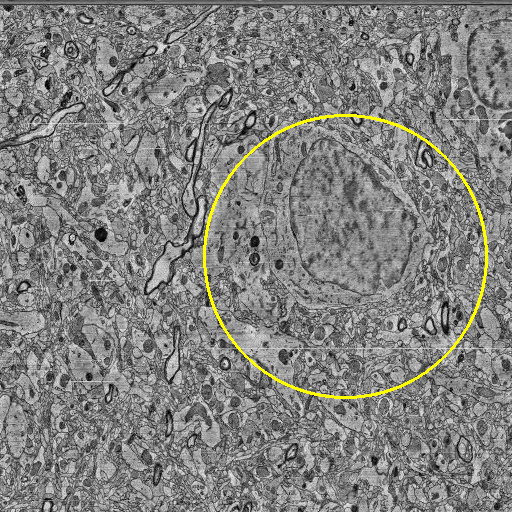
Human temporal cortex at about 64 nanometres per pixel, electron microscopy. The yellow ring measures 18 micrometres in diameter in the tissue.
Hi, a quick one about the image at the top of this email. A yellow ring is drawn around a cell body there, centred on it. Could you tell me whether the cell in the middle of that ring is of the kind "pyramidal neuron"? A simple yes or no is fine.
no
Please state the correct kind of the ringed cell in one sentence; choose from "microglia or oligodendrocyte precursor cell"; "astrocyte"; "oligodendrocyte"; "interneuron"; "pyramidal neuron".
The cell enclosed by the ring is an interneuron.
